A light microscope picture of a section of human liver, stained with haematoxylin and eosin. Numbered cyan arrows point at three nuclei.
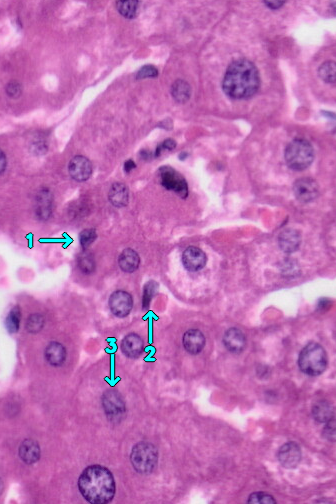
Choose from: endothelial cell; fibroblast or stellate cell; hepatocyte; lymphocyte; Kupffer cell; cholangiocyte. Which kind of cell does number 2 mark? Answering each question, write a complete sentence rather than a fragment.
Corresponding to an endothelial cell is the cell labelled 2.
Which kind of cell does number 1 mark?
The cell with the number 1 is a fibroblast or stellate cell.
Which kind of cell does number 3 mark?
The cell that carries the label 3 is a hepatocyte.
